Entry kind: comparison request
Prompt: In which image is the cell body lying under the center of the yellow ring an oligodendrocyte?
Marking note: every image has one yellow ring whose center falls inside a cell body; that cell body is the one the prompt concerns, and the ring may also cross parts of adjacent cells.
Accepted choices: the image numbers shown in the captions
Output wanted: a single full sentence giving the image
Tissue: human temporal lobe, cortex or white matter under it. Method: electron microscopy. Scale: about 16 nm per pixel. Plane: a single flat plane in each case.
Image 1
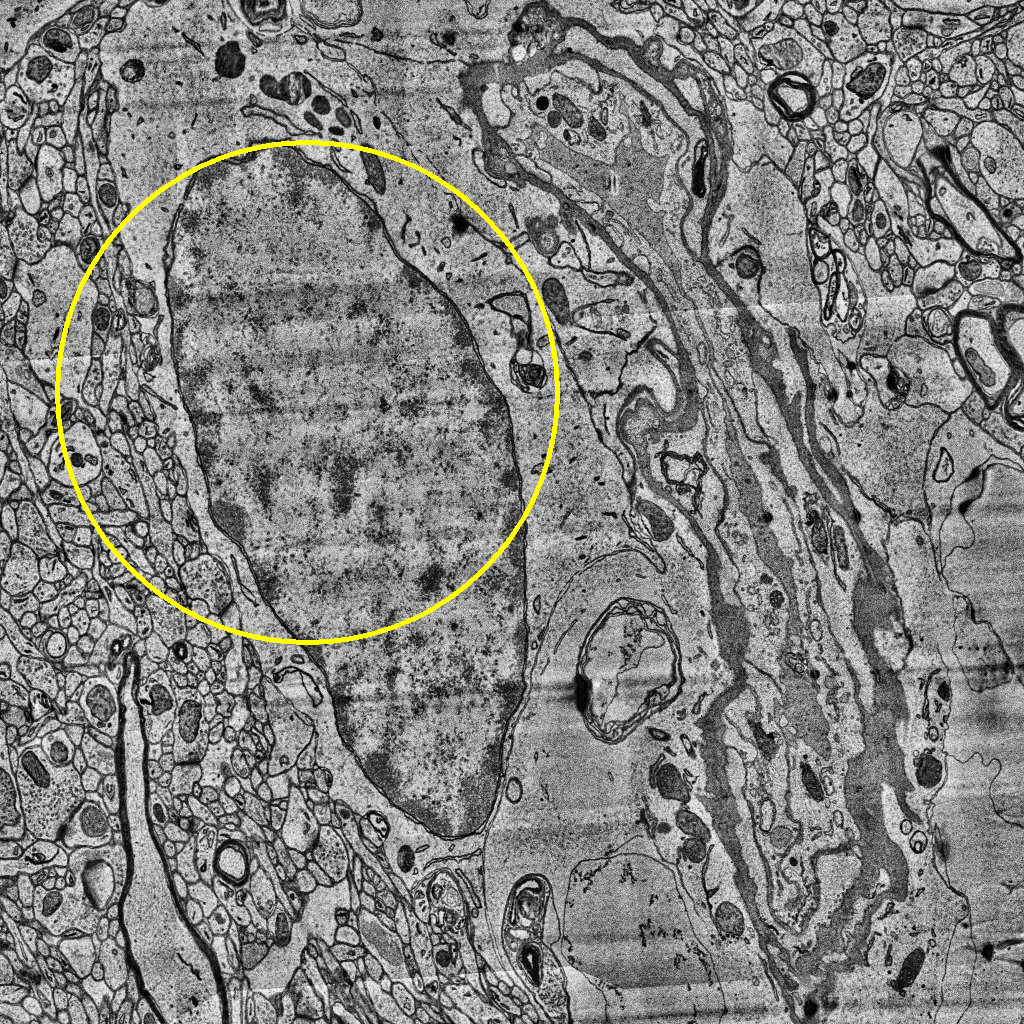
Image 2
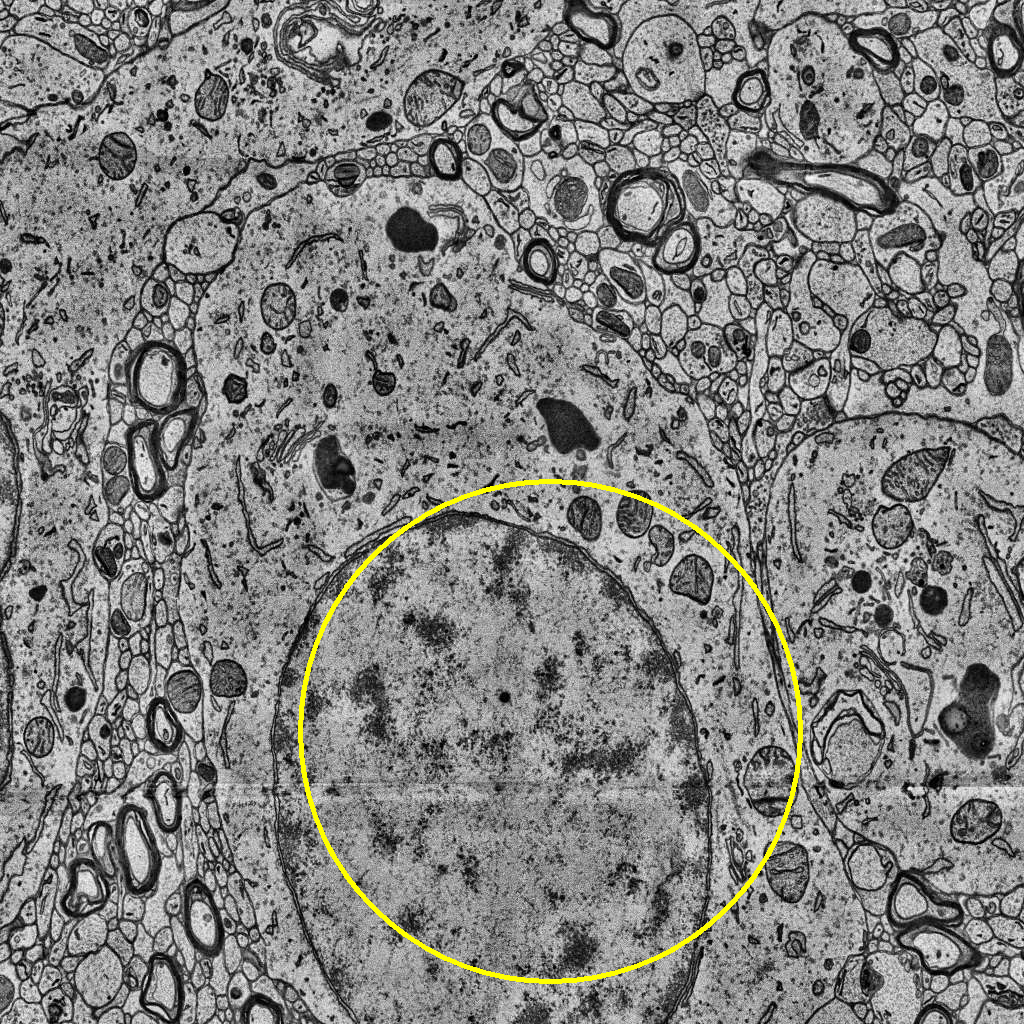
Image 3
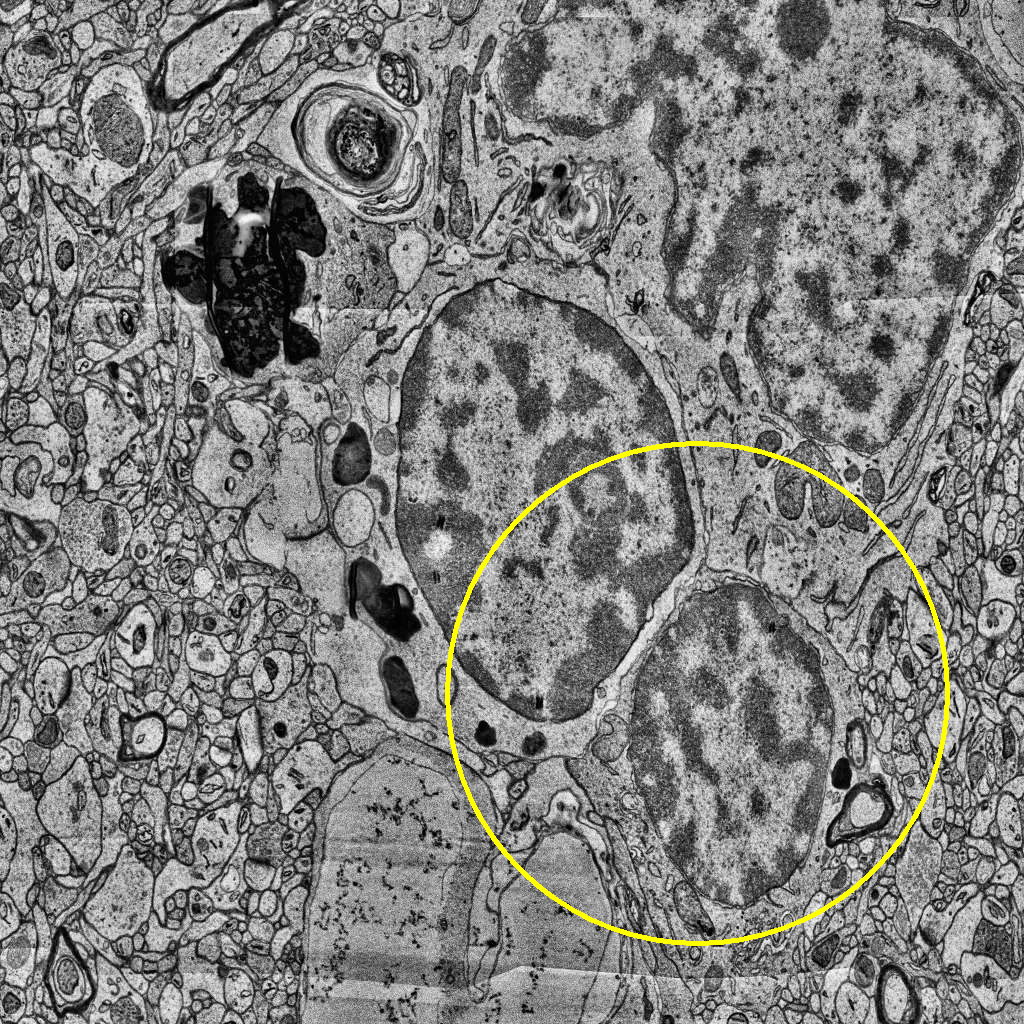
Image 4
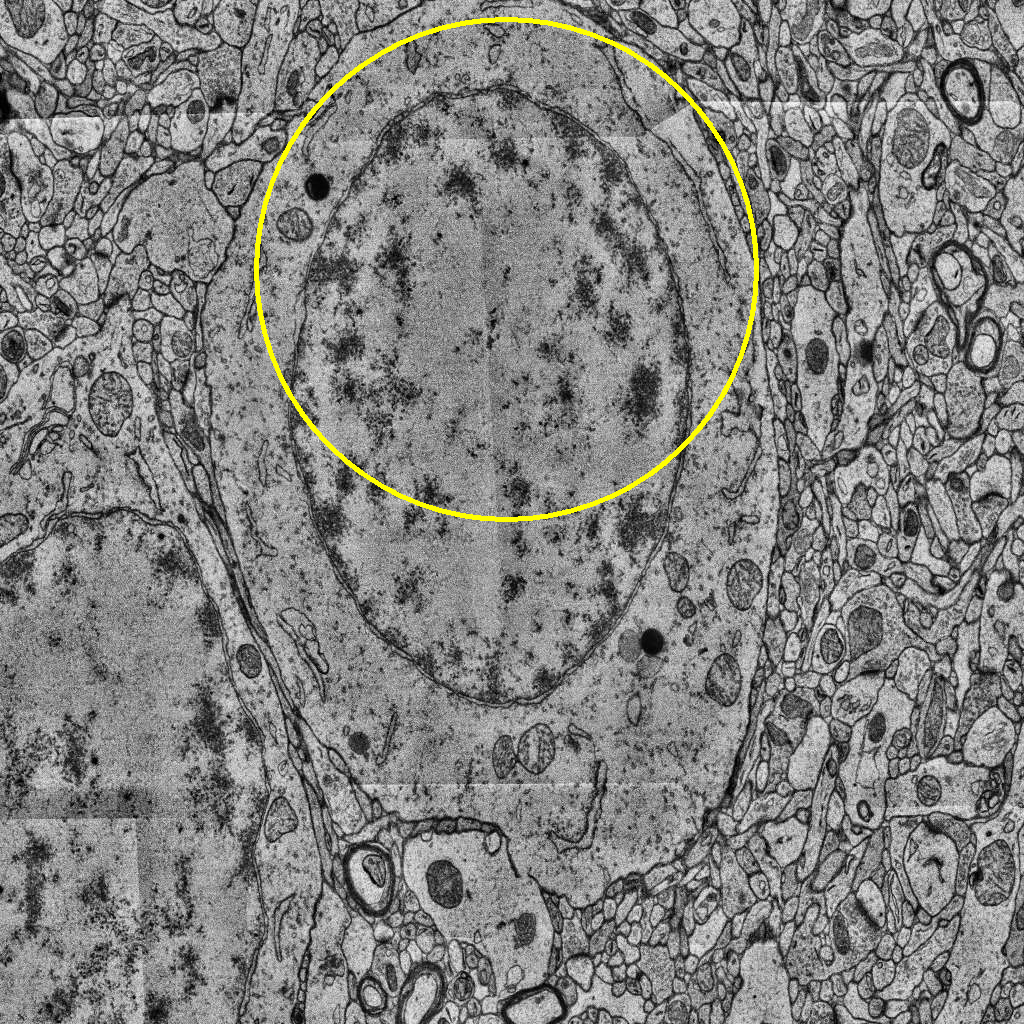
In image 3, the cell holding the center of the yellow ring matches the prompt.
